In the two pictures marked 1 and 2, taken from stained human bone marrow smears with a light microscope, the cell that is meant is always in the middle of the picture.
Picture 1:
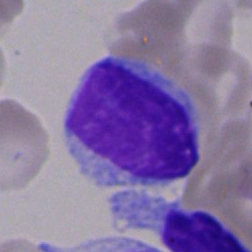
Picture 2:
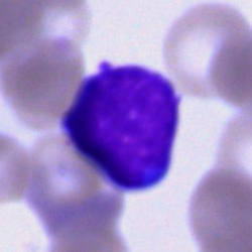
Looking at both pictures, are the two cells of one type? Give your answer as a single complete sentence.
Yes, both are lymphocytes.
